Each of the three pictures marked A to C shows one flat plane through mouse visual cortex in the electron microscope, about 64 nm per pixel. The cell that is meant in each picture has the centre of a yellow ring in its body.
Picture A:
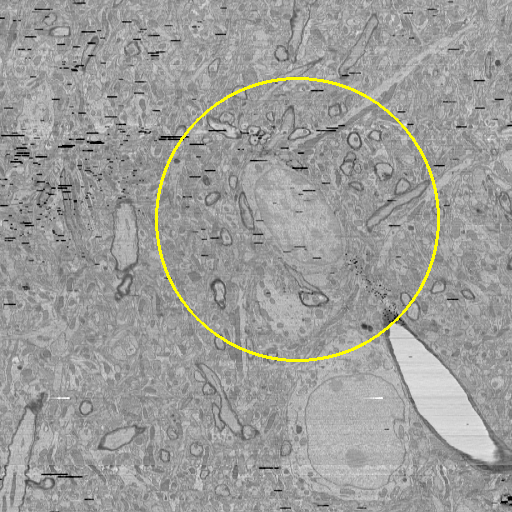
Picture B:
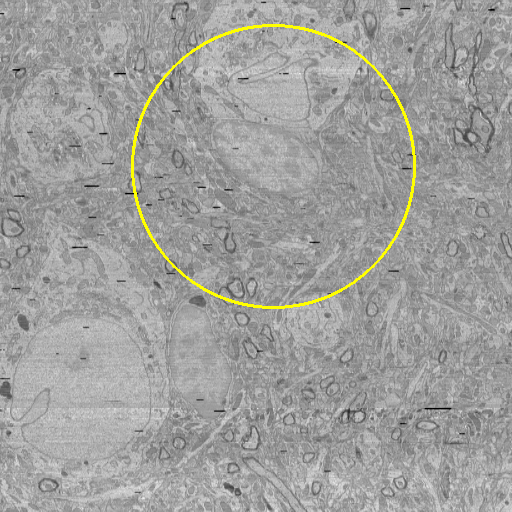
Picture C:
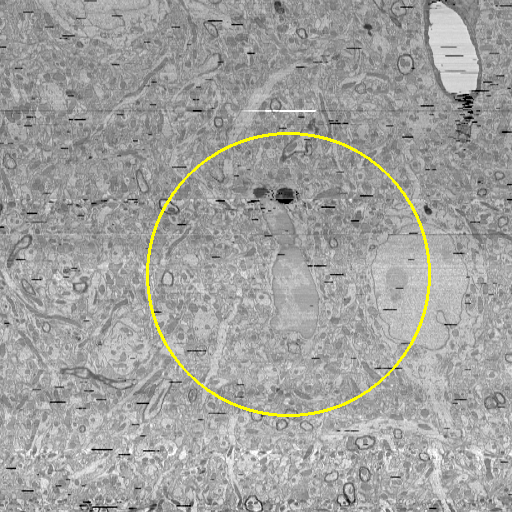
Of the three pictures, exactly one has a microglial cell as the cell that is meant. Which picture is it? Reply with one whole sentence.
Picture C shows the microglial cell.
